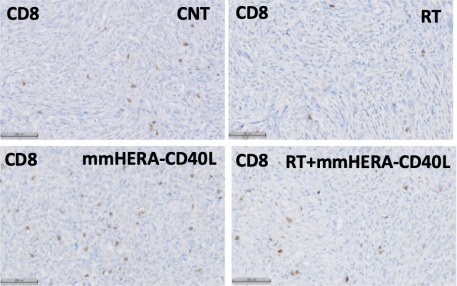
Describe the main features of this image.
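These four fields show tumor tissue made mostly of closely packed, elongated spindle-shaped cells, their pale blue nuclei running in streams across the field. Scattered among them lie small, individual cells with round, brown-stained profiles, spread singly through the tissue rather than in clusters. The brown cells look fewer in one of the four fields than in the others.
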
